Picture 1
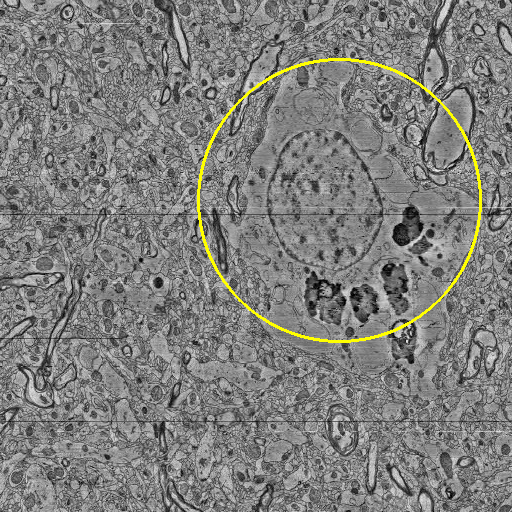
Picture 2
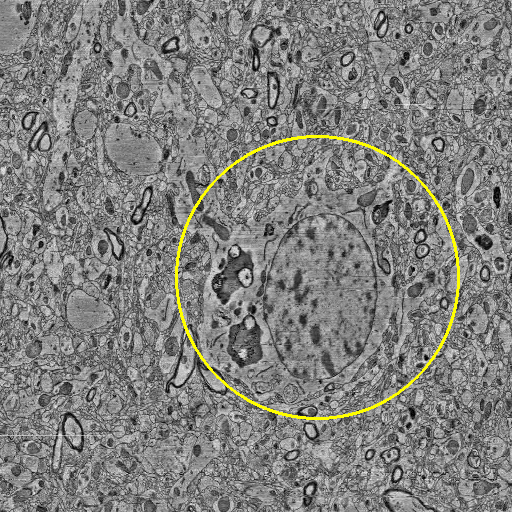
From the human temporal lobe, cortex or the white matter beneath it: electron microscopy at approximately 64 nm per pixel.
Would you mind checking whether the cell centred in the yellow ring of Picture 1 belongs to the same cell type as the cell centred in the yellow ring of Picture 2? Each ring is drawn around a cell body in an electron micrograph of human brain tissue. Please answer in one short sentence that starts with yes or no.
Yes, both cells are of the same type.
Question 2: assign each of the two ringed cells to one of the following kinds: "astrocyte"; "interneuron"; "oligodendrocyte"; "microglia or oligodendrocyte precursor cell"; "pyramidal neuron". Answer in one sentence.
In the first picture and in the second, the ring is centred on an astrocyte.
